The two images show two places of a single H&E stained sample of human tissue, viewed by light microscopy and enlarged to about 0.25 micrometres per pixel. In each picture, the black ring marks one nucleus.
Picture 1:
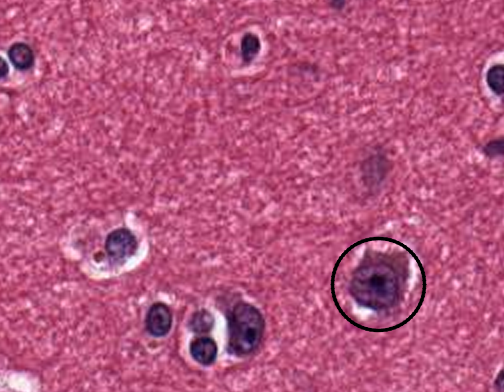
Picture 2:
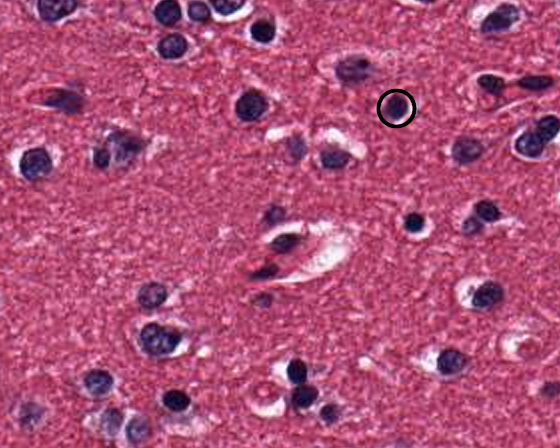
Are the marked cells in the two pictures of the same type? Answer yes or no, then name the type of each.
No, the first is a neuron and the second an oligodendrocyte.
